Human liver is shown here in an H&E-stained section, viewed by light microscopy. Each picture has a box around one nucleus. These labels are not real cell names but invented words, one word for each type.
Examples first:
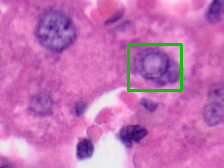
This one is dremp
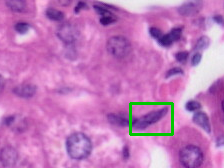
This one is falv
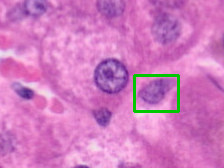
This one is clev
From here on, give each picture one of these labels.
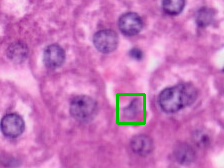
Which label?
clev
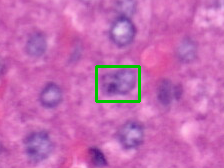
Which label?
dremp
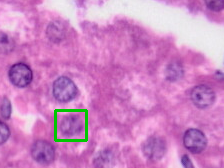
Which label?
dremp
